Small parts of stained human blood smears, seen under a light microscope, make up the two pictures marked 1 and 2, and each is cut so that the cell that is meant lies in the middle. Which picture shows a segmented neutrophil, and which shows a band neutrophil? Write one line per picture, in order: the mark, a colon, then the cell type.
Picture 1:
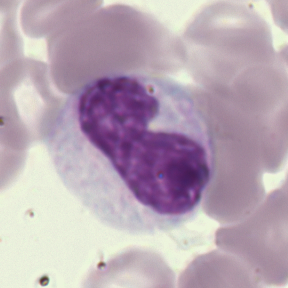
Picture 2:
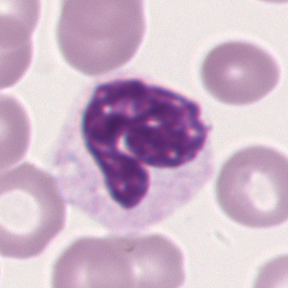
1: band neutrophil
2: segmented neutrophil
